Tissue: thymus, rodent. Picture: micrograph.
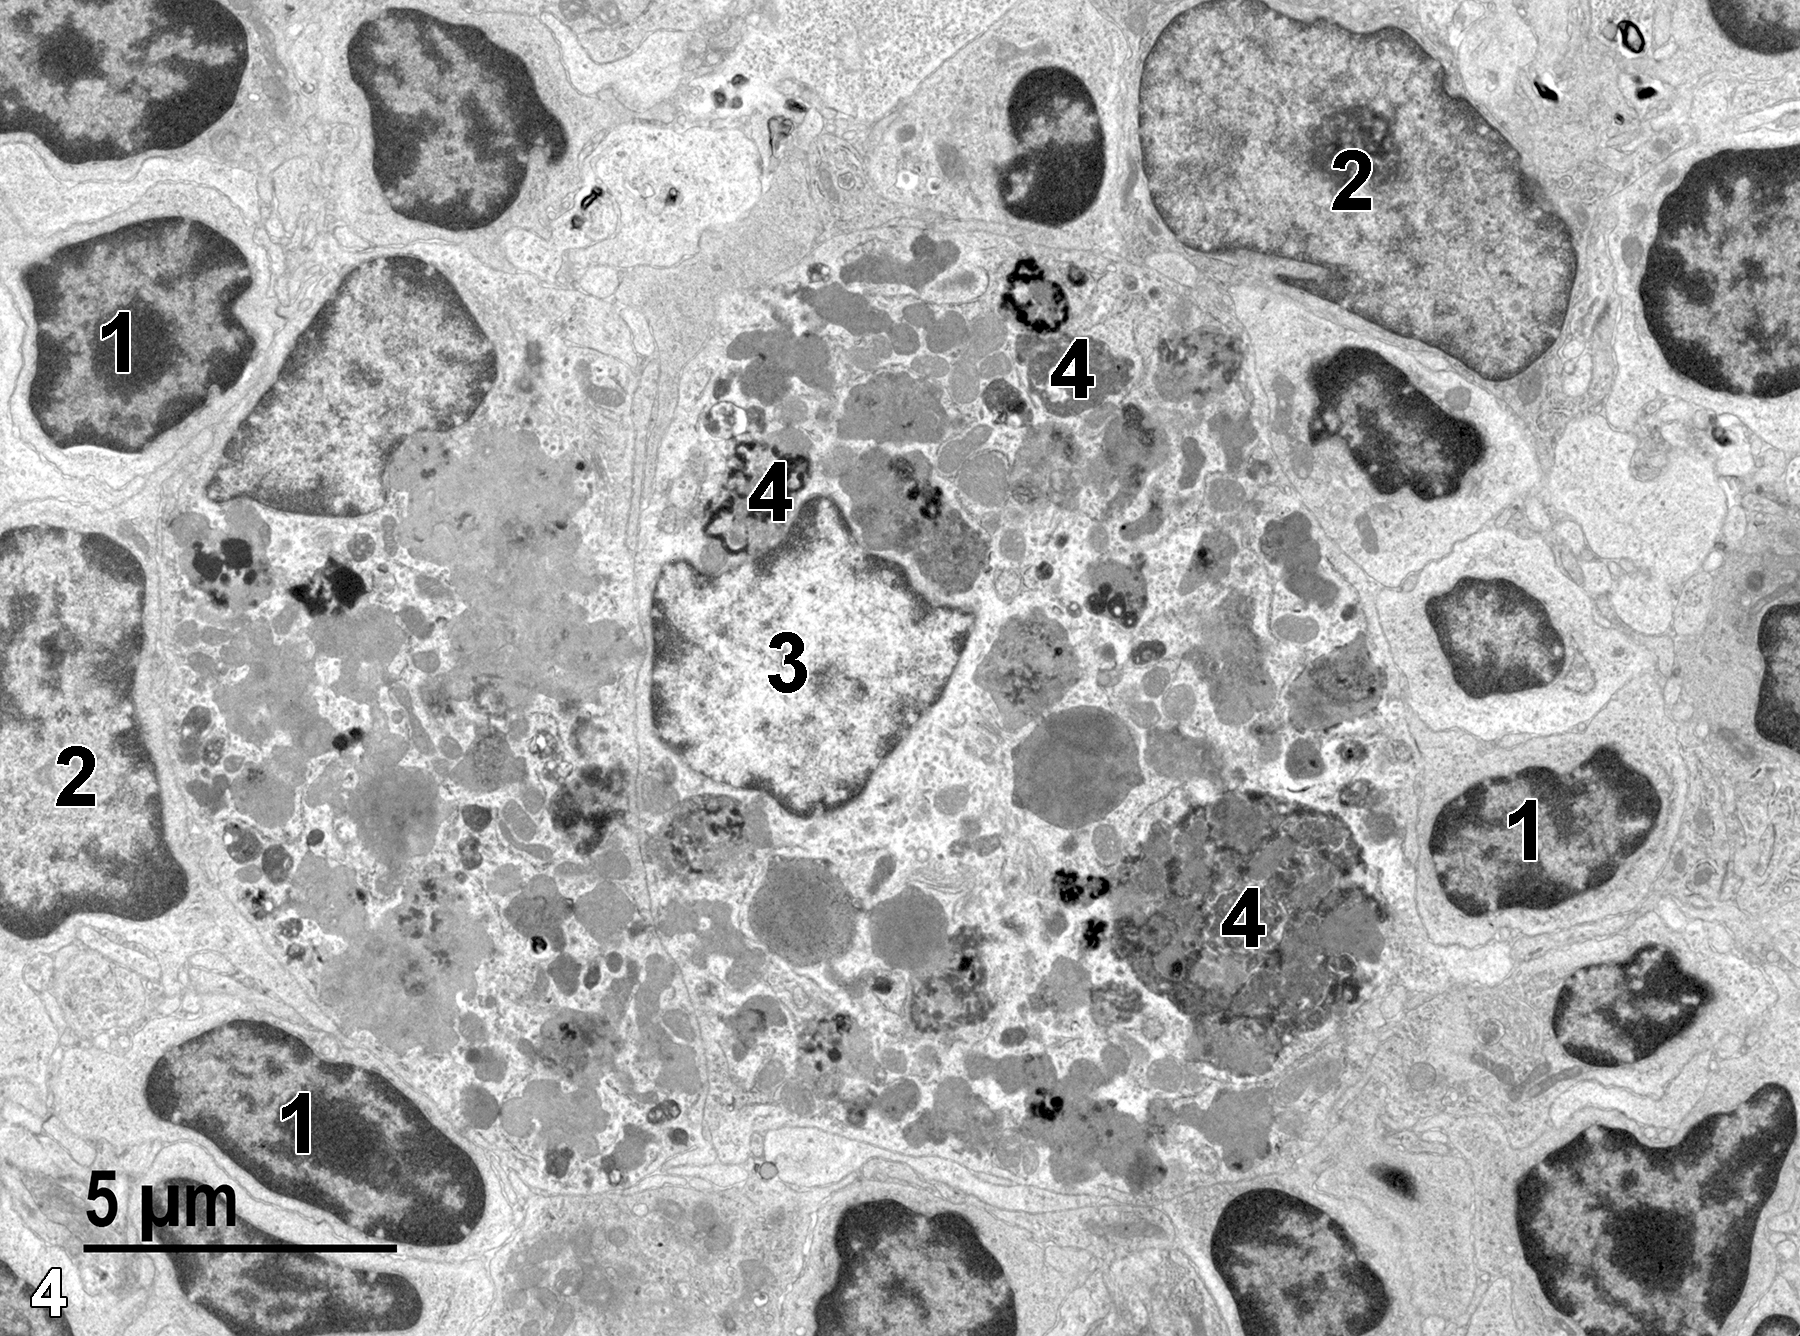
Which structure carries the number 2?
Nuclei of reticular epithelial cells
